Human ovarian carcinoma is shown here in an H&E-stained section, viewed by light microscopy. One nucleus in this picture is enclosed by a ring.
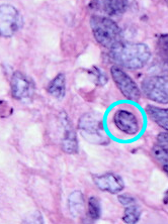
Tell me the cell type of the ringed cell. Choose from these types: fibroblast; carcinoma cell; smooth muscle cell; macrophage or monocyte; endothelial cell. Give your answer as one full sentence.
It is as a macrophage or monocyte that the ringed cell is recorded.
